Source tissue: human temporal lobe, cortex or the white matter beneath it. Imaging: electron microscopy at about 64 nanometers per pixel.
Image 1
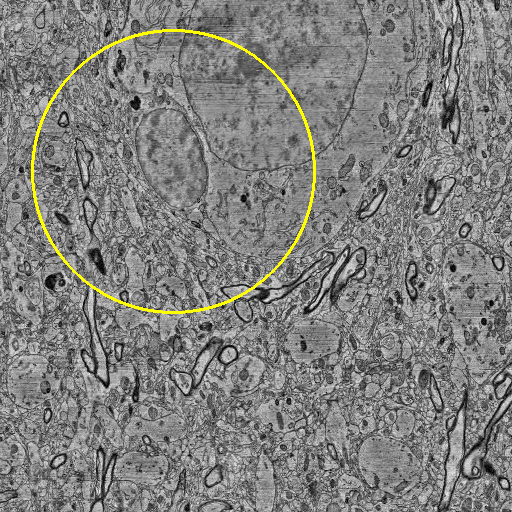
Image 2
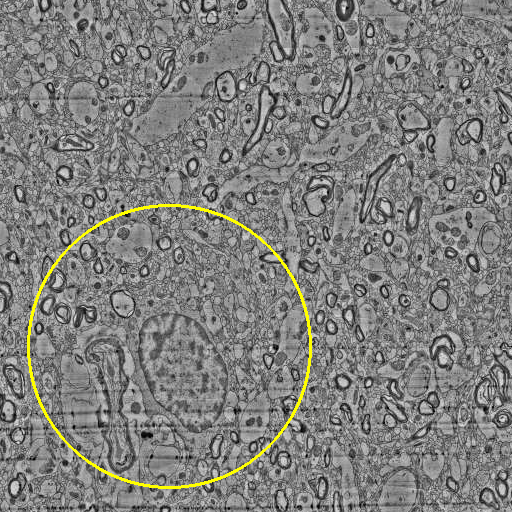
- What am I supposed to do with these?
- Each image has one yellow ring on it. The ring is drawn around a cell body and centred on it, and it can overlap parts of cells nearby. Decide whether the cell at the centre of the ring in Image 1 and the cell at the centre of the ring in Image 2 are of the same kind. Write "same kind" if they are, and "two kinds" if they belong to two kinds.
same kind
